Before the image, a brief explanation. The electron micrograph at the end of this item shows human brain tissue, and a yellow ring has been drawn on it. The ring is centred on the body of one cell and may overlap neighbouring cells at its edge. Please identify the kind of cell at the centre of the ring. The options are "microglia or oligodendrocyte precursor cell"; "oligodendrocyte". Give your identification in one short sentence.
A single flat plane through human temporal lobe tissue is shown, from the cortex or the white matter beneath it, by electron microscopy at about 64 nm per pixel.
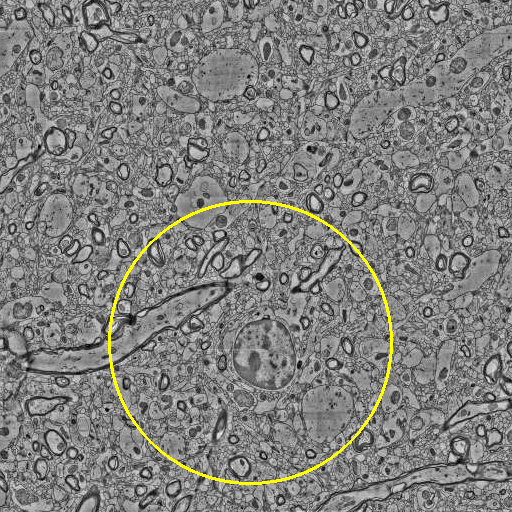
The ring has been placed around a microglial cell or oligodendrocyte precursor cell.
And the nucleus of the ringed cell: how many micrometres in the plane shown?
Approximately 4 micrometers across in this plane.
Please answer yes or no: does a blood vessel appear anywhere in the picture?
No, none shows.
